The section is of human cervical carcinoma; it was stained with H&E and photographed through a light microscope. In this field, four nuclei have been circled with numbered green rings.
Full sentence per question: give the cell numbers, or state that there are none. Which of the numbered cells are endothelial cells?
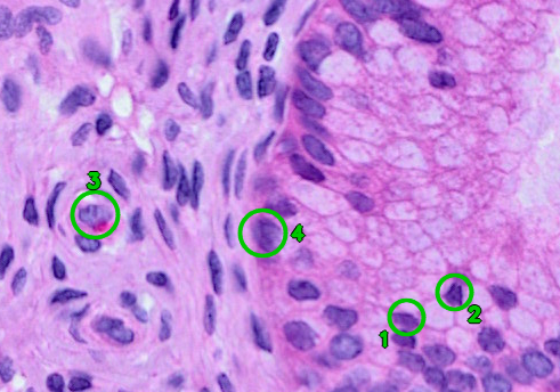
Of all the cells bearing numbers, cell 3 is the only one that is an endothelial cell.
